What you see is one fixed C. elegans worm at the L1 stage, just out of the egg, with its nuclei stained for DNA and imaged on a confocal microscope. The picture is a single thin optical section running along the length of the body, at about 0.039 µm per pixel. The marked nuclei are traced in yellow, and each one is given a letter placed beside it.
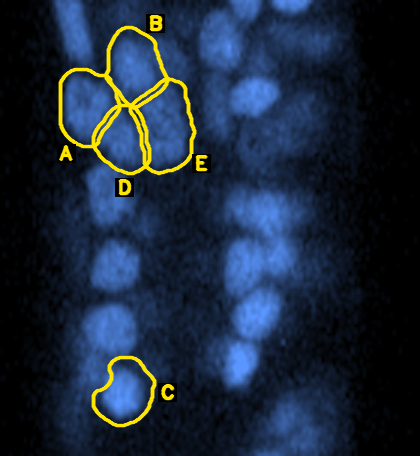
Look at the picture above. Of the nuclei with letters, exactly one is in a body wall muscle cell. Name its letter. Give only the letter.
A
